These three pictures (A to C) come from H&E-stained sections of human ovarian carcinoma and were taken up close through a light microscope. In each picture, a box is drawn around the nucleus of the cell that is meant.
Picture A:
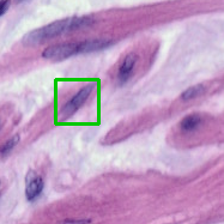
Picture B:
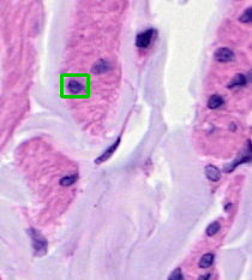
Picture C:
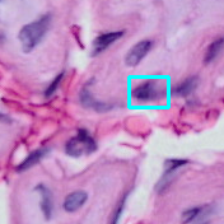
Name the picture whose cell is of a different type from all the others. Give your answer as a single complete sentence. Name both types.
Picture C differs, because its cell is an endothelial cell and the rest are smooth muscle cells.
